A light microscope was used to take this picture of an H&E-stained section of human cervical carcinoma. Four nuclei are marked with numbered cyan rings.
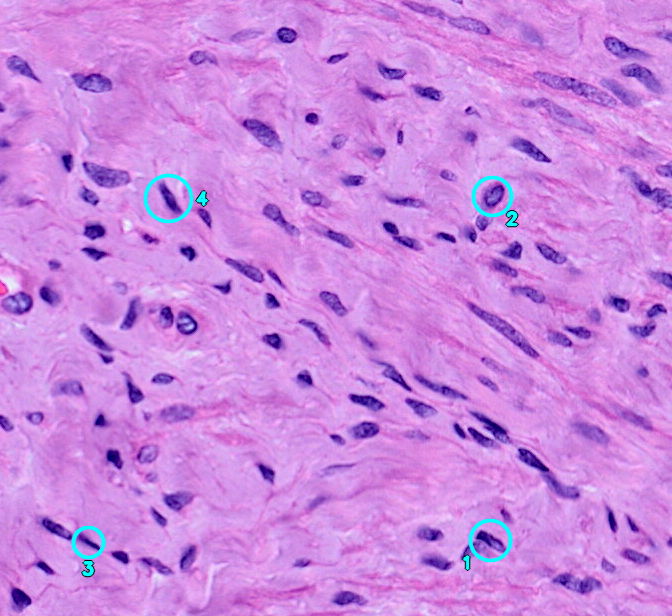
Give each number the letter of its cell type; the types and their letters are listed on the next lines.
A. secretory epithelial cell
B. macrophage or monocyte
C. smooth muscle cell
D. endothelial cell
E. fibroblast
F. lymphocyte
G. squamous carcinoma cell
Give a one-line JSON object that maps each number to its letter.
{"1": "E", "2": "C", "3": "E", "4": "E"}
